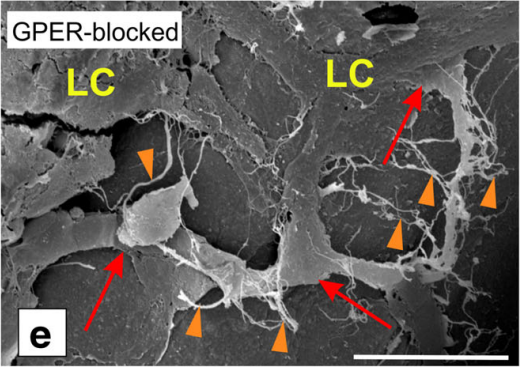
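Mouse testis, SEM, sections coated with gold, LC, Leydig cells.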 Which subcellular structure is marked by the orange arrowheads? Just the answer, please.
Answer: Telopodes.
